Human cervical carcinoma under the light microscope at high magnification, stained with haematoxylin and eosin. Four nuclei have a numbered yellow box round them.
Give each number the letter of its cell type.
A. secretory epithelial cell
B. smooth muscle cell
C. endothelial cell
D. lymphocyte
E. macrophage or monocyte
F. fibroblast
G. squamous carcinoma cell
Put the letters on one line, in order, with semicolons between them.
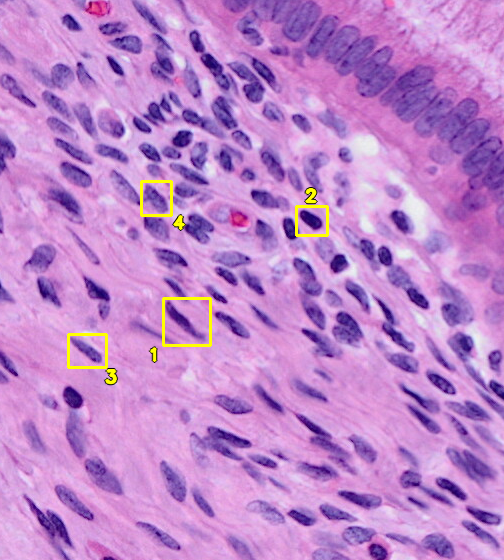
F; D; F; F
